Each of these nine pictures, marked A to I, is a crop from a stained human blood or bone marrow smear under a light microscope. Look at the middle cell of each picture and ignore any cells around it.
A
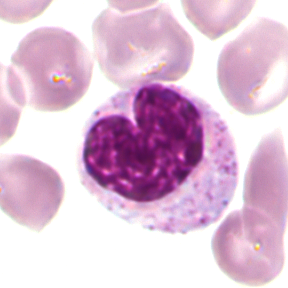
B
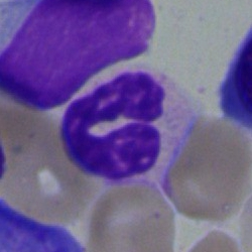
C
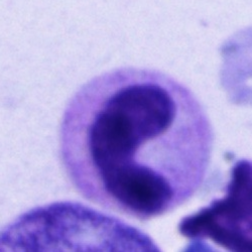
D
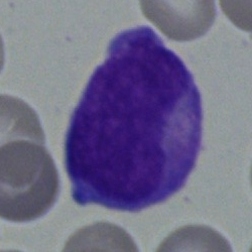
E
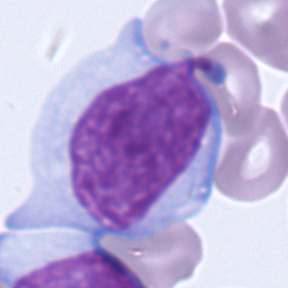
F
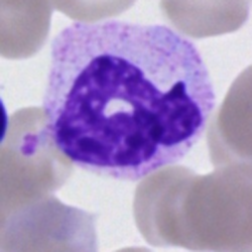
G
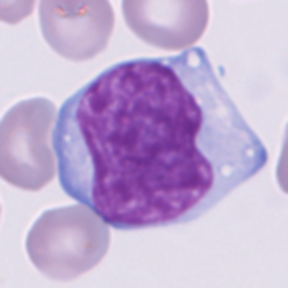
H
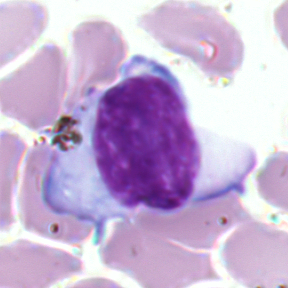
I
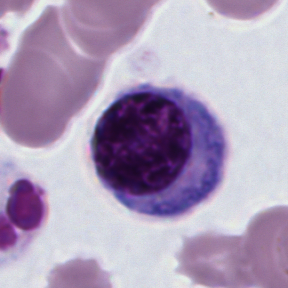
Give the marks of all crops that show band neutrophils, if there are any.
A, B, C, F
